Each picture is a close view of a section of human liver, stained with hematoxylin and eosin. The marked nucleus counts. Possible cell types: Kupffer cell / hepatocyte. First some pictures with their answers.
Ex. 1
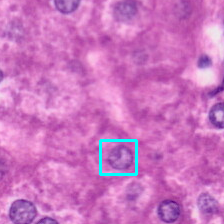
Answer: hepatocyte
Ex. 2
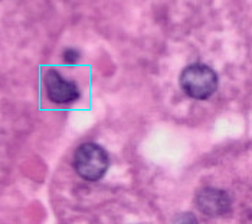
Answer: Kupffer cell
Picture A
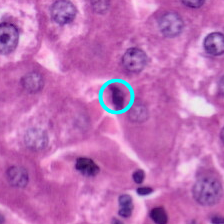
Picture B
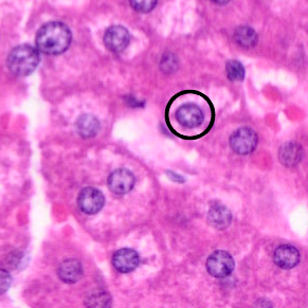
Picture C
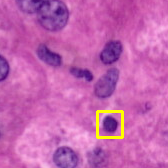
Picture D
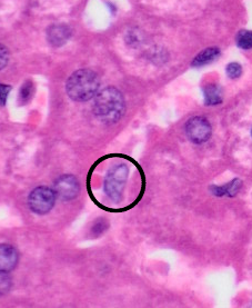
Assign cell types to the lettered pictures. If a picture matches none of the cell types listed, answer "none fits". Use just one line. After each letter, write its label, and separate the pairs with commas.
A Kupffer cell, B hepatocyte, C none fits, D Kupffer cell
